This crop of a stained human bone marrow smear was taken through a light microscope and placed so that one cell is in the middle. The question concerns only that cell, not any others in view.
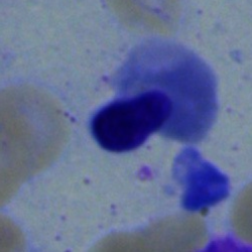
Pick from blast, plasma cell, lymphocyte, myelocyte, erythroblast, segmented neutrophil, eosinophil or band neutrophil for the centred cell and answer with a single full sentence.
At the crop's centre, the cell is an erythroblast.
